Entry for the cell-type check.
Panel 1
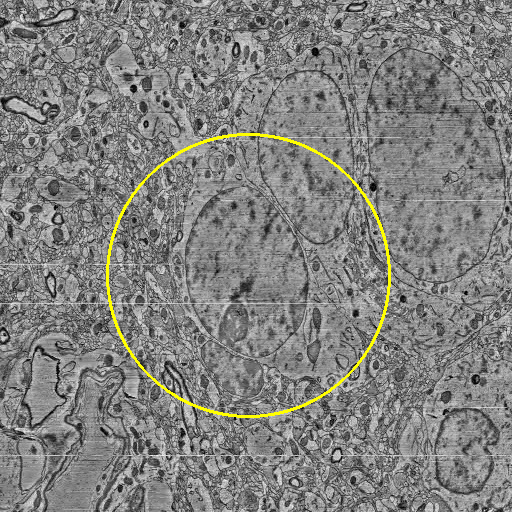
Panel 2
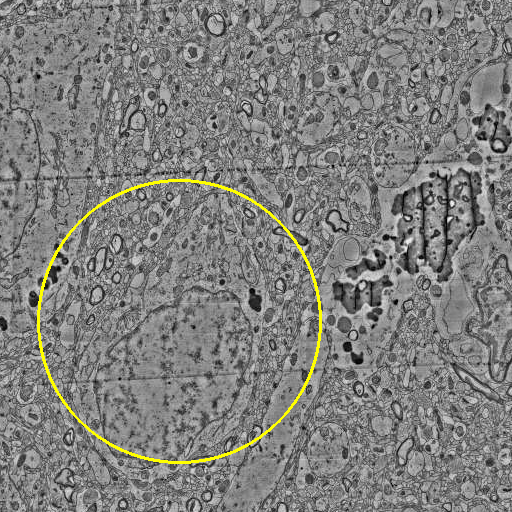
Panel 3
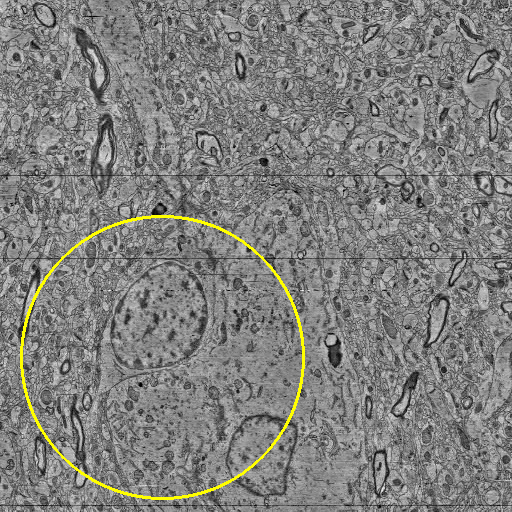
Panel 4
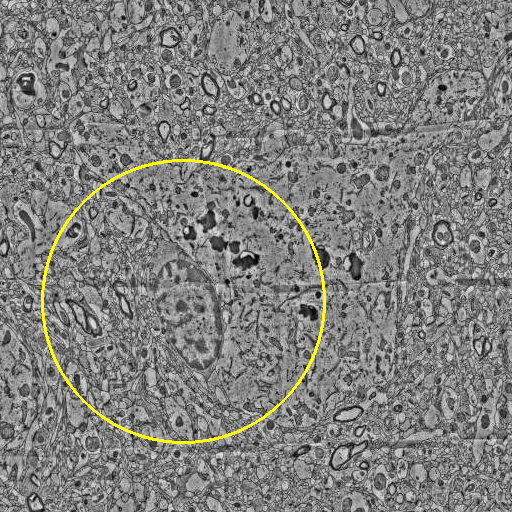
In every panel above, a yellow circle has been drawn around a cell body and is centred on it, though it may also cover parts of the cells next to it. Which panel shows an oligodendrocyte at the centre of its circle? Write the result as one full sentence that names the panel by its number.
Panel 4 shows it at the centre of its circle.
